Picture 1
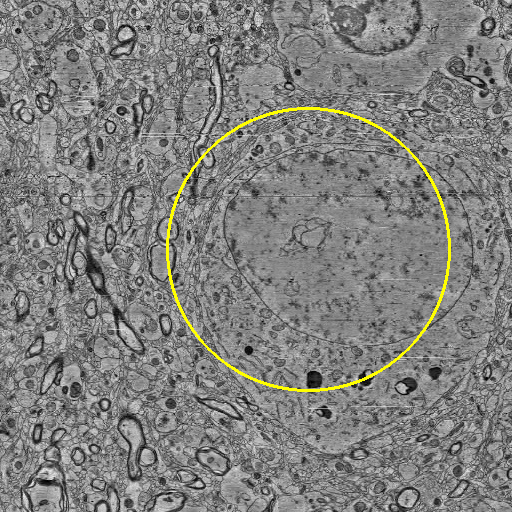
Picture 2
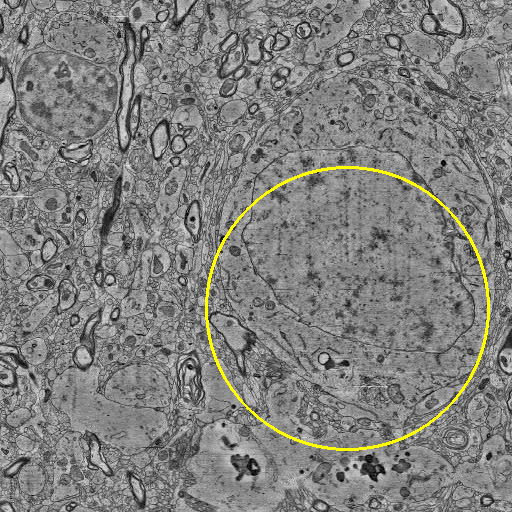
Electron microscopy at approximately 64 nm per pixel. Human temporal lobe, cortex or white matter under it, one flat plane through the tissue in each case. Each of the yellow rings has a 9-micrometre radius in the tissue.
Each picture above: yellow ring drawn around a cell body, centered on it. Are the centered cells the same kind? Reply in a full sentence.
Yes, the two cells are the same kind.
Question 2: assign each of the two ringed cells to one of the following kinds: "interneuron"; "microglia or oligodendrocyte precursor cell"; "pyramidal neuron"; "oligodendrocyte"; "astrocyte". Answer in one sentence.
Each of the two cells is a pyramidal neuron.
